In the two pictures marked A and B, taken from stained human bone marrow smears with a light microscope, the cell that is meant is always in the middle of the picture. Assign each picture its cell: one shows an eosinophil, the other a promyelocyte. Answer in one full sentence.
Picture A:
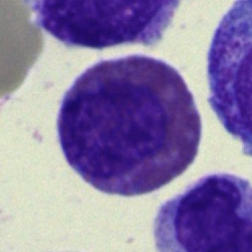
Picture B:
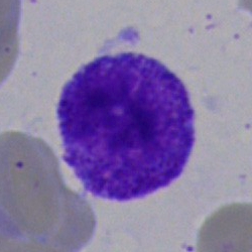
It is picture A that shows an eosinophil, and picture B that shows a promyelocyte.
